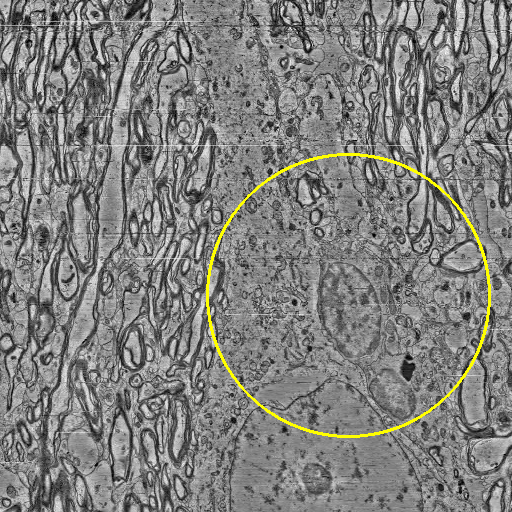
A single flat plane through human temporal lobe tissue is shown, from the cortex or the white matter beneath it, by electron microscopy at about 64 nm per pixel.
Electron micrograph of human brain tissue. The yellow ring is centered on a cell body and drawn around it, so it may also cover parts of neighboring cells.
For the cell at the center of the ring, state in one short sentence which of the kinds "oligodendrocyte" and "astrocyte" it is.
This ring is centered on an oligodendrocyte.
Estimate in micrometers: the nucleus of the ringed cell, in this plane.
At approximately 6 by 4 micrometres, the nucleus is clearly longer than it is wide in this plane.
